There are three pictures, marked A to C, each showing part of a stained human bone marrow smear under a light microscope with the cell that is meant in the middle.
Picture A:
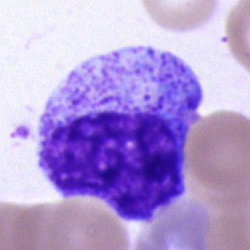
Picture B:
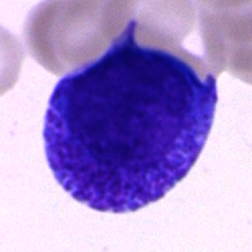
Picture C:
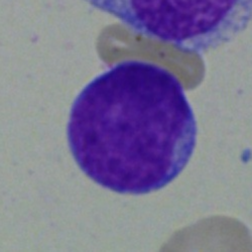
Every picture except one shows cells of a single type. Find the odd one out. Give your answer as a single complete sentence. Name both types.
All pictures except C show promyelocytes; picture C shows a blast.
